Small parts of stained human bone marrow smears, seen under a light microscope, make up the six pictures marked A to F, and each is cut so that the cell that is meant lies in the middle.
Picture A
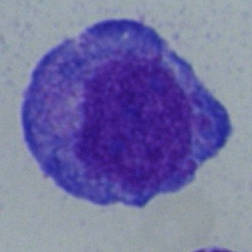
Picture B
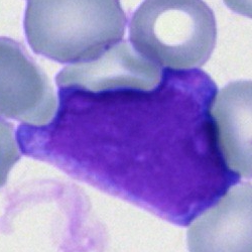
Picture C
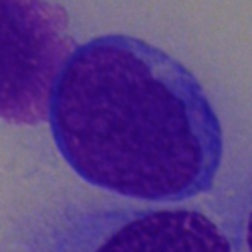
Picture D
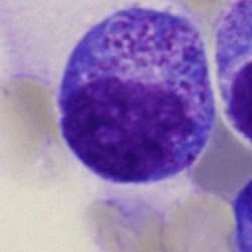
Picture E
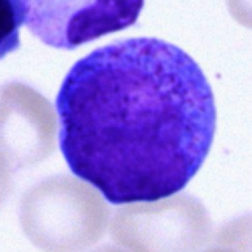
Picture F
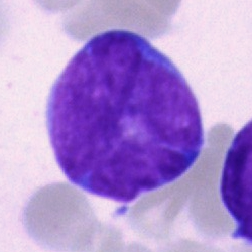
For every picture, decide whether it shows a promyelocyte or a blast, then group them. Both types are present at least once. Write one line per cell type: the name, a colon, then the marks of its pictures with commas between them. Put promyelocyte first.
promyelocyte: A, D, E
blast: B, C, F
